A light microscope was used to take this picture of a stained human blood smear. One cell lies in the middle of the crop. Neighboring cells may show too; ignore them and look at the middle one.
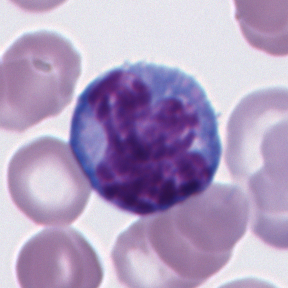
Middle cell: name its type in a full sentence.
In the center of this field lies a monocyte.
